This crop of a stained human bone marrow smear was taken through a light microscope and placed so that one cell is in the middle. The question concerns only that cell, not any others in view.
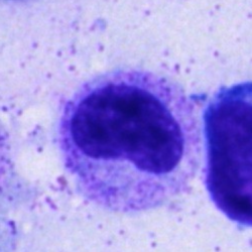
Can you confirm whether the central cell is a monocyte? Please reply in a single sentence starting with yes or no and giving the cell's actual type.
No, it isn't a monocyte; what sits in the middle is a metamyelocyte.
